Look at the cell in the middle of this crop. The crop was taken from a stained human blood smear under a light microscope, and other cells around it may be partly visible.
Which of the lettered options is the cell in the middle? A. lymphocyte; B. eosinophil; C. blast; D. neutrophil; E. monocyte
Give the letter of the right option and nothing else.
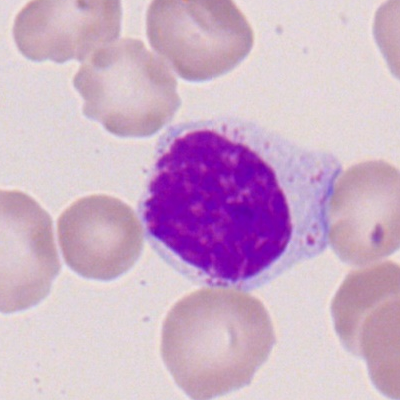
A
